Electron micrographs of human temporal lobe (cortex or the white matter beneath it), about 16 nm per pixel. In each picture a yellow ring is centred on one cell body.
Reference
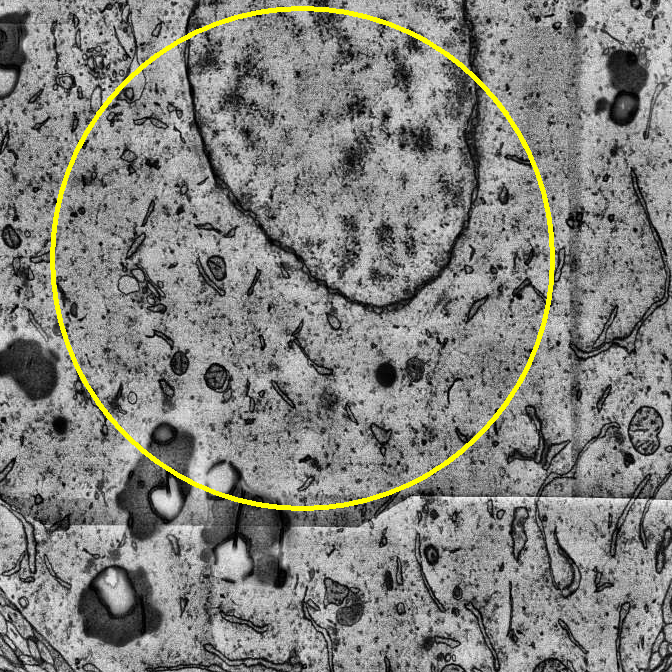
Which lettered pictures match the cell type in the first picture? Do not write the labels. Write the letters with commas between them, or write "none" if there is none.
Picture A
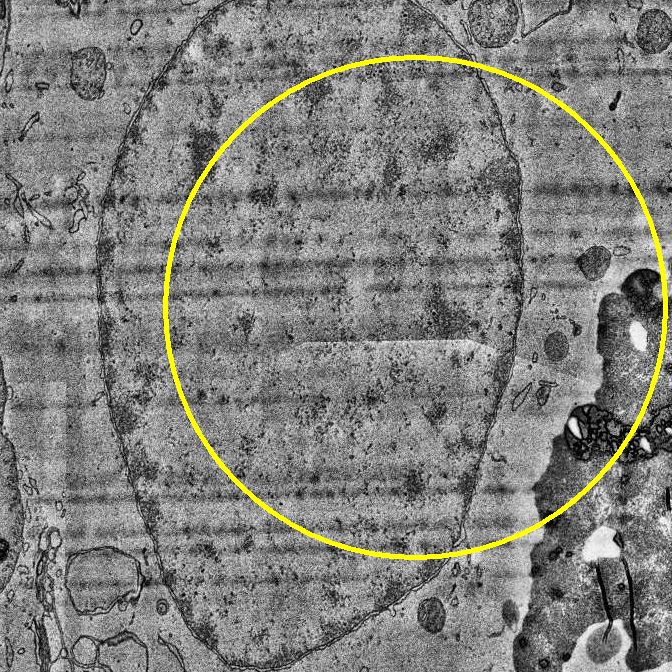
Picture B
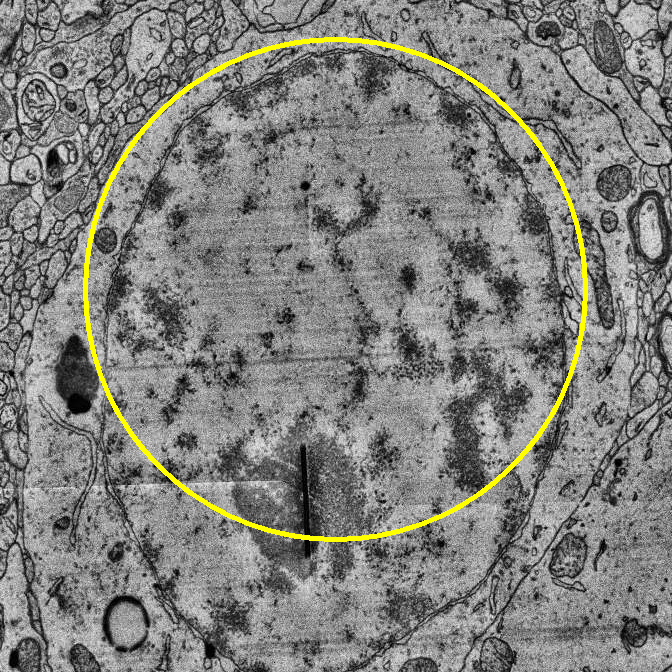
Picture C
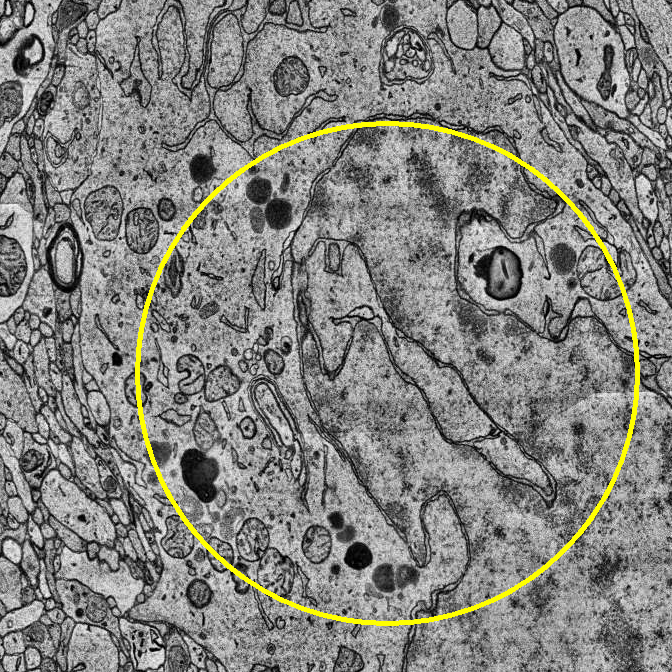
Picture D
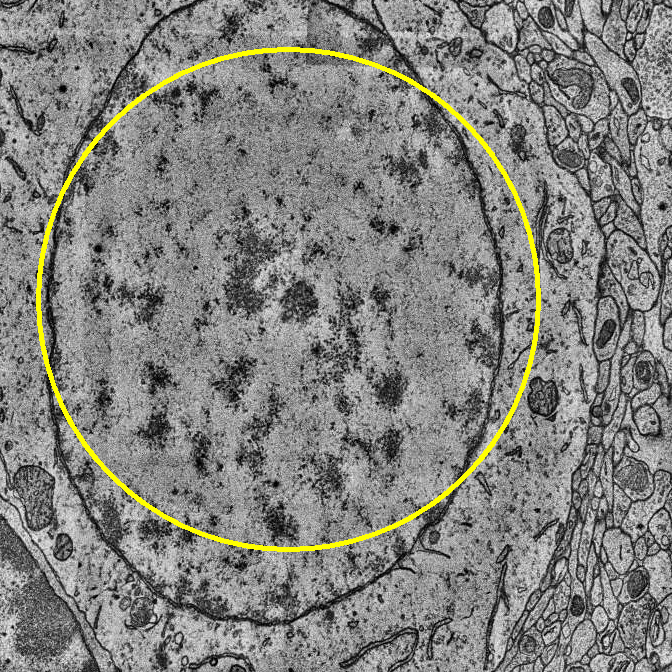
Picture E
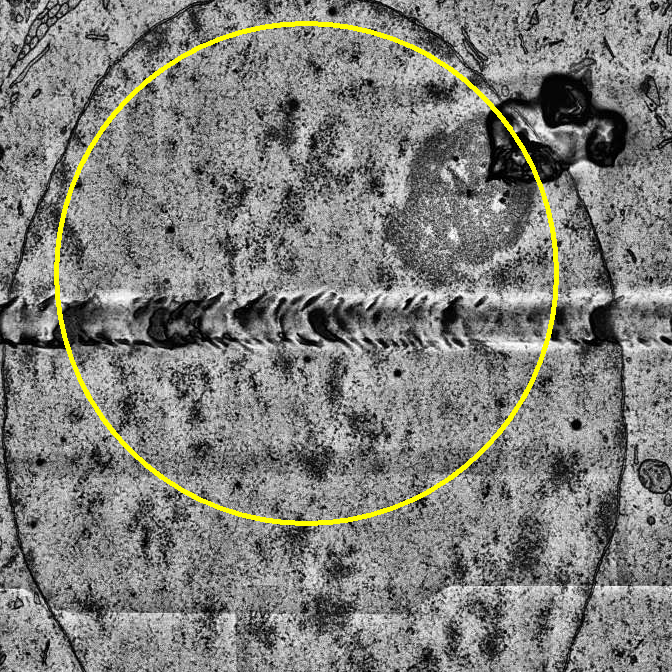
D, E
